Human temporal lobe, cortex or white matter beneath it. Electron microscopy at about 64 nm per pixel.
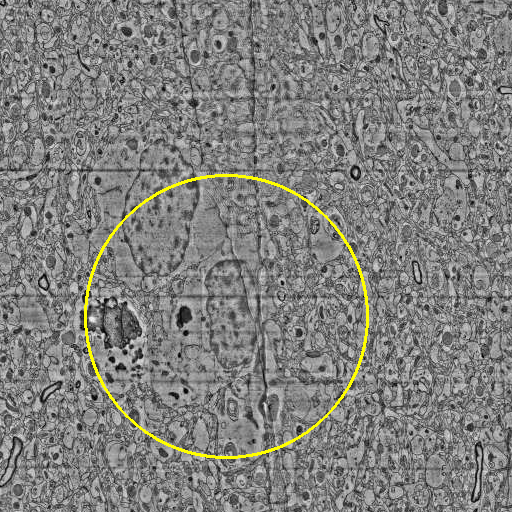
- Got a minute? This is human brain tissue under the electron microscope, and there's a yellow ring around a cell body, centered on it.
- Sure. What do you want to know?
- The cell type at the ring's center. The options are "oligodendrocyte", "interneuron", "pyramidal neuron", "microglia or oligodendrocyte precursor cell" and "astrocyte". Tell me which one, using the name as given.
astrocyte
